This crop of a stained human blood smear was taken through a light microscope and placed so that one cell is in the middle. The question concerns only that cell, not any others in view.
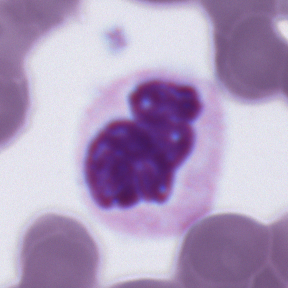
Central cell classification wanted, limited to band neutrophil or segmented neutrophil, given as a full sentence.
The centrally located cell in the crop is a segmented neutrophil.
